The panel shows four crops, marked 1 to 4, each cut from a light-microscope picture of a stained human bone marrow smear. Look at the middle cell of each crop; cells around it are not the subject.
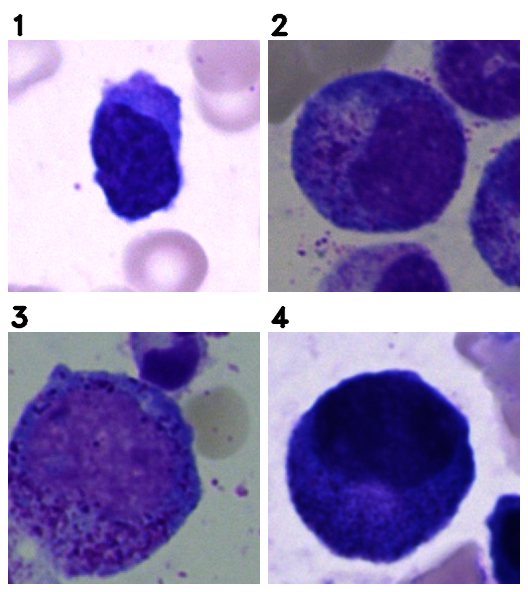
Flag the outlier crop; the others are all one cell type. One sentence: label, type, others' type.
All the crops show promyelocytes except crop 1, which shows a plasma cell.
